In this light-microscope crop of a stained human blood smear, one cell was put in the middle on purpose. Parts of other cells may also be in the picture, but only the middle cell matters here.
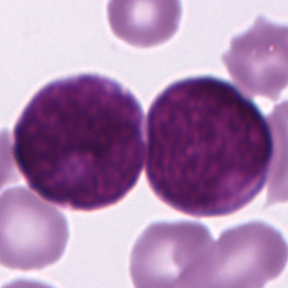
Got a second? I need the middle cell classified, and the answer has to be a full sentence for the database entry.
Whatever else lies nearby, the middle cell is a myeloblast.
